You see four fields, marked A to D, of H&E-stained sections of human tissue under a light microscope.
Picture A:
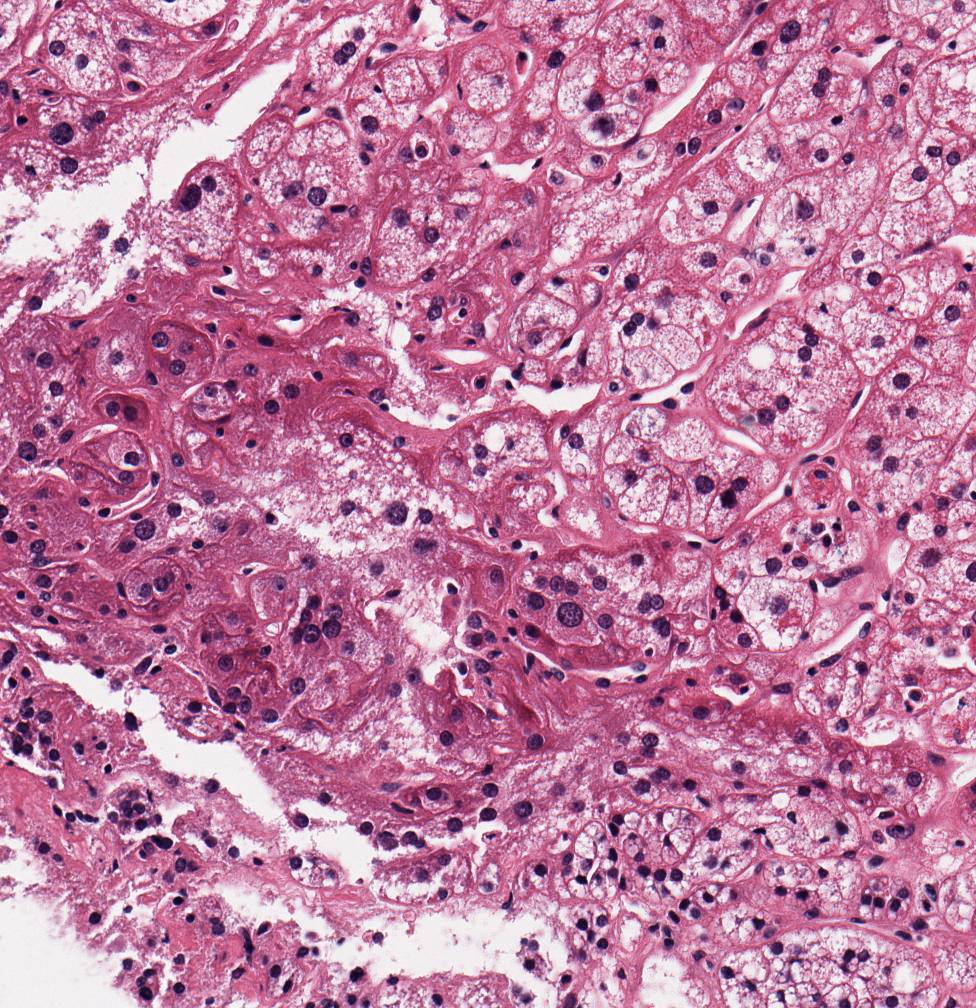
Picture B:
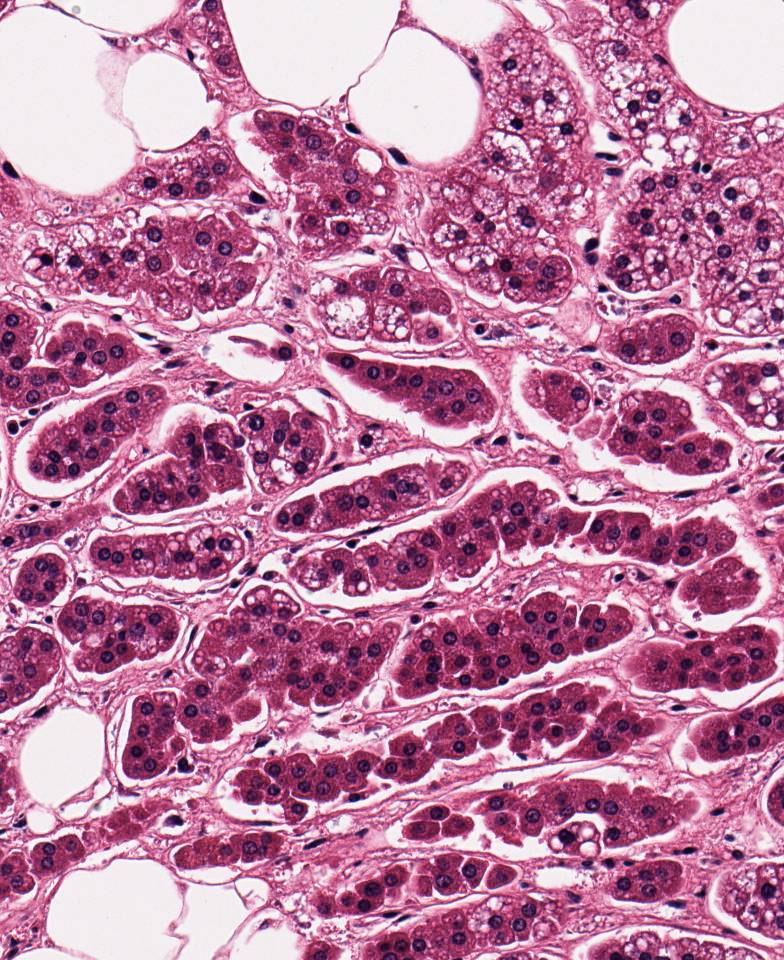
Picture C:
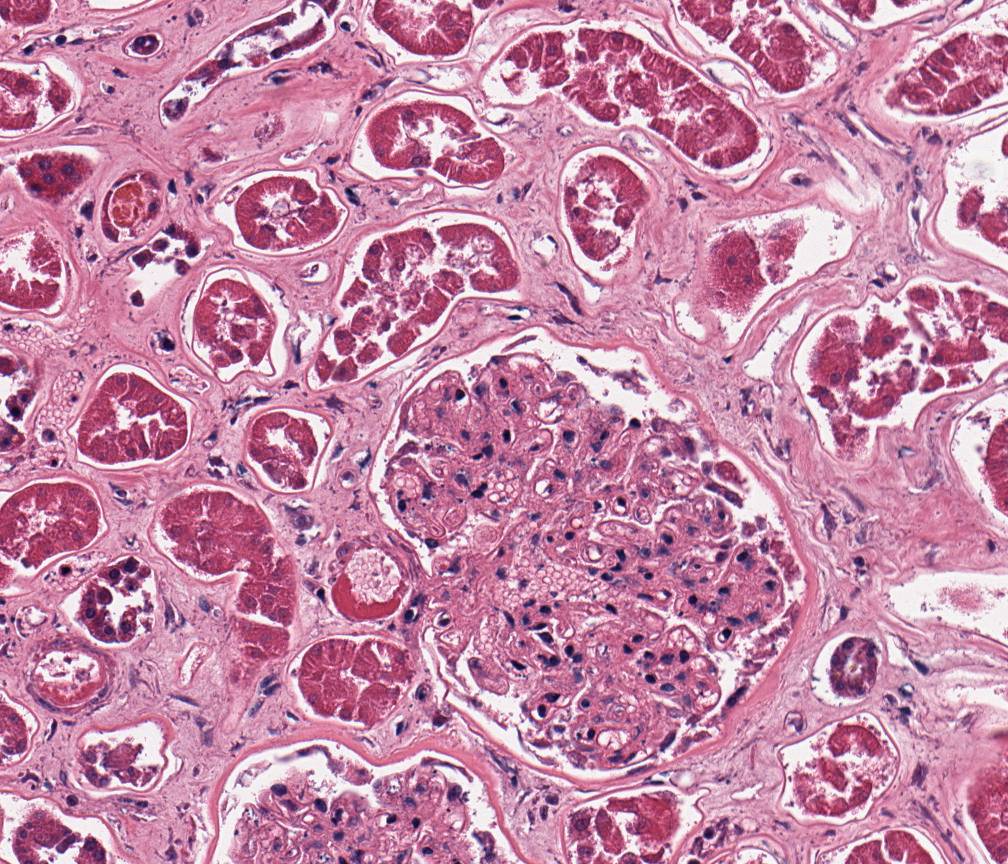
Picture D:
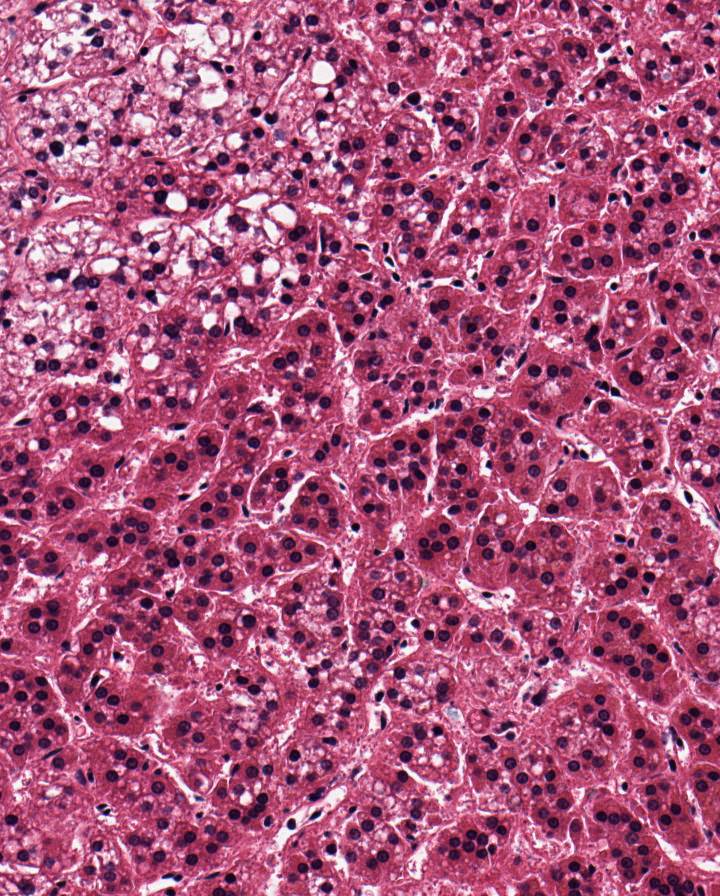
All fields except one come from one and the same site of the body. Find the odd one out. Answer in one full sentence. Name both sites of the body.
Unlike the rest, which come from the adrenal gland, picture C comes from the renal cortex.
